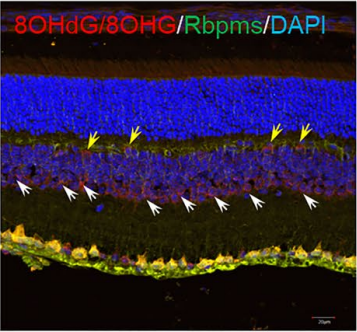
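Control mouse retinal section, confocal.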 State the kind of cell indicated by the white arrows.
Amacrine cells.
